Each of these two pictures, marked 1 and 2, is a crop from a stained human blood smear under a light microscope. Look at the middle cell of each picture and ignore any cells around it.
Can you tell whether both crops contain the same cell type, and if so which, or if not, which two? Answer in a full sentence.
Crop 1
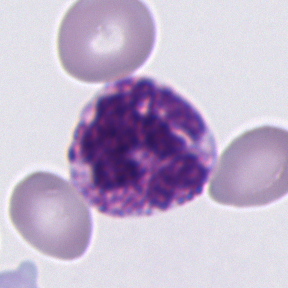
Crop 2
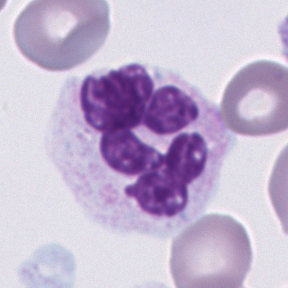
No, the cell centred in crop 1 is a basophil, and that centred in crop 2 is a segmented neutrophil.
